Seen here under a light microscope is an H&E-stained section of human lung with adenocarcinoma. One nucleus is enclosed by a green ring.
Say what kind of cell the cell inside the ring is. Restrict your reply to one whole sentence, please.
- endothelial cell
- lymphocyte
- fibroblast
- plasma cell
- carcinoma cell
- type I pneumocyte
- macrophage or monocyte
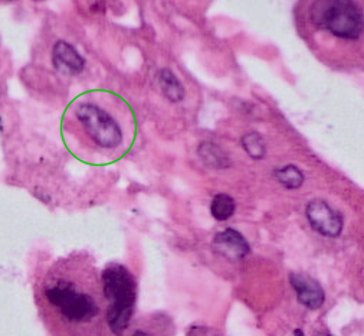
Among the cells in this section, the cell inside the ring is a macrophage or monocyte.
